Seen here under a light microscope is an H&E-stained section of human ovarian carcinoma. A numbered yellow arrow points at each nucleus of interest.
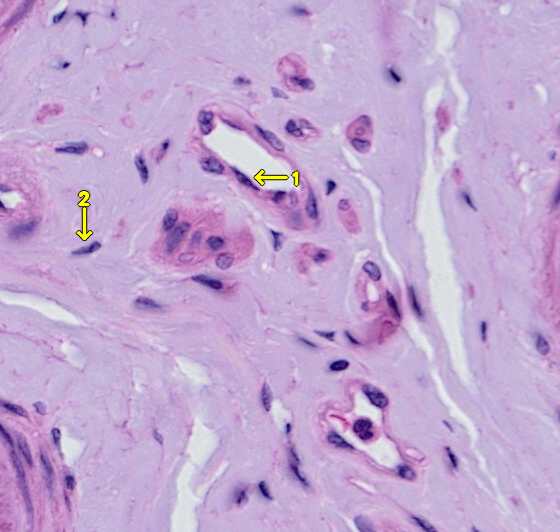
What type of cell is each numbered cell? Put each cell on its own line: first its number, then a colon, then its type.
1: endothelial cell
2: fibroblast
